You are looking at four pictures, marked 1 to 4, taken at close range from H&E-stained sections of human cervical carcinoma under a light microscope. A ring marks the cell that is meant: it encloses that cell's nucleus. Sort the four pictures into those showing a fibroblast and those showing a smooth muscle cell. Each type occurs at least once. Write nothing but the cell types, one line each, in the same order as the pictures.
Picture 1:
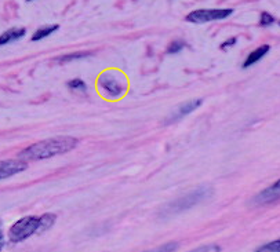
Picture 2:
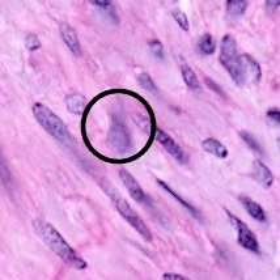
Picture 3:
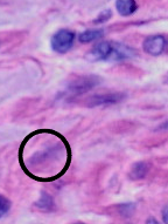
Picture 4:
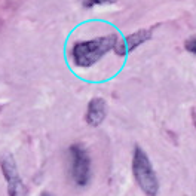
smooth muscle cell
smooth muscle cell
fibroblast
fibroblast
